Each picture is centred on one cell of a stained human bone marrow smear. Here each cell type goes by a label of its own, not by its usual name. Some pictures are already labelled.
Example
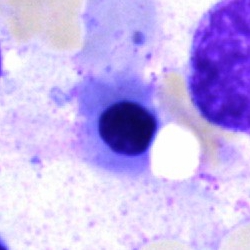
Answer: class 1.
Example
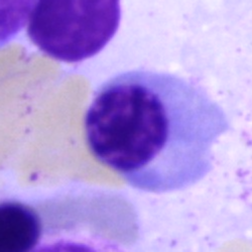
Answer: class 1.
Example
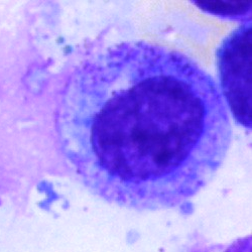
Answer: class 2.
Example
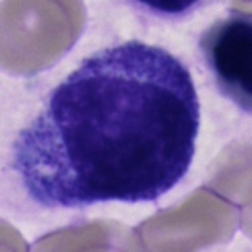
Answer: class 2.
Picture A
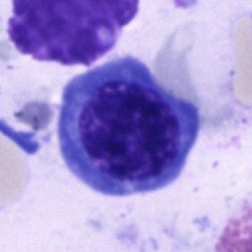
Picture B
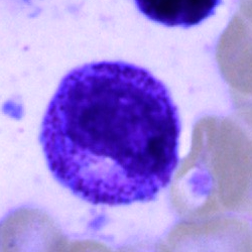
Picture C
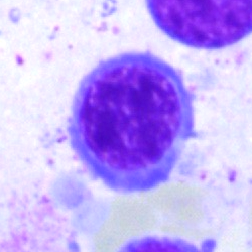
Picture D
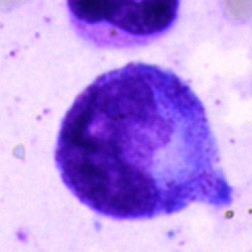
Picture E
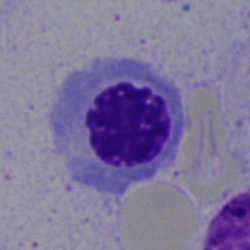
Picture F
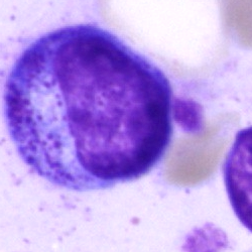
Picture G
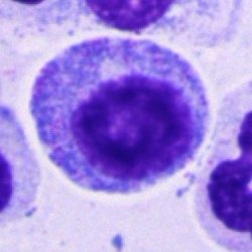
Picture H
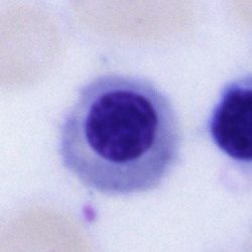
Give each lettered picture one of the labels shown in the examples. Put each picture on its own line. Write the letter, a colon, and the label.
A: class 1.
B: class 2.
C: class 1.
D: class 2.
E: class 1.
F: class 2.
G: class 2.
H: class 1.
